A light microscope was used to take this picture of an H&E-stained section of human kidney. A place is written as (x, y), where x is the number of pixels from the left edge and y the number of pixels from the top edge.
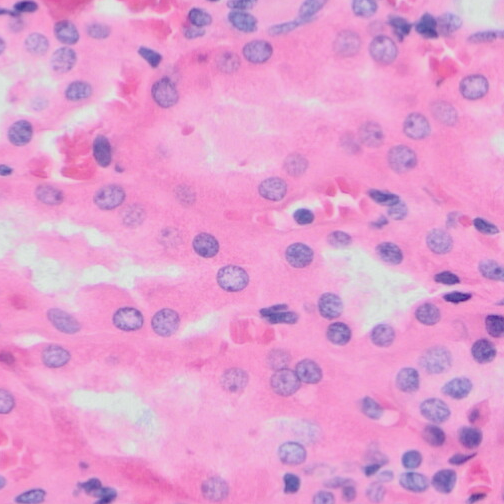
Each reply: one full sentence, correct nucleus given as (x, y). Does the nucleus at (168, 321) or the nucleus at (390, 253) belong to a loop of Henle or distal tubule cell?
Of the pair, the nucleus positioned at (390, 253) is that of a loop of Henle or distal tubule cell.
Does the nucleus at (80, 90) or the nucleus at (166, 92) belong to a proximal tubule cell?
Housed in a proximal tubule cell is the nucleus at (166, 92), not the other one.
